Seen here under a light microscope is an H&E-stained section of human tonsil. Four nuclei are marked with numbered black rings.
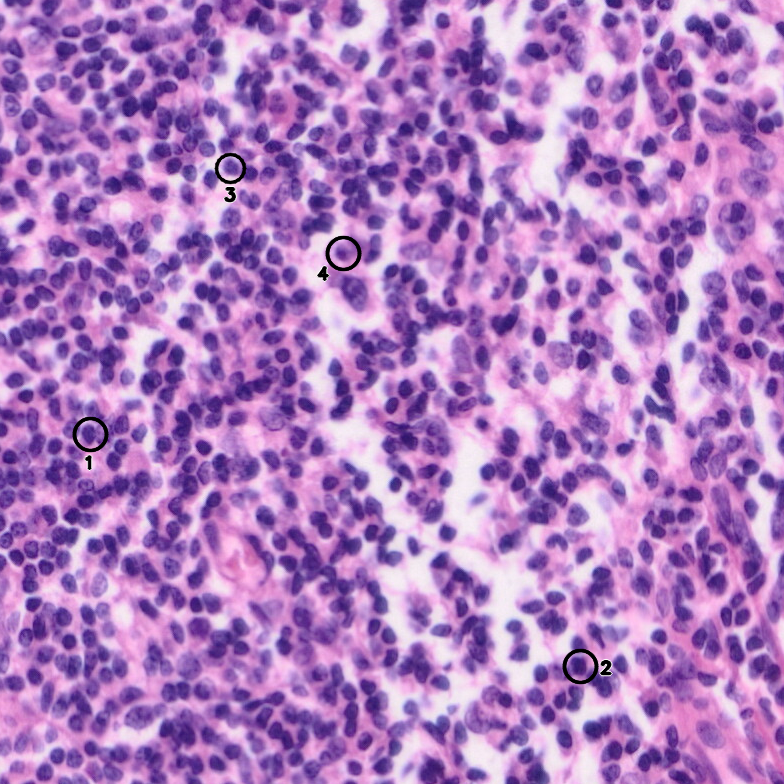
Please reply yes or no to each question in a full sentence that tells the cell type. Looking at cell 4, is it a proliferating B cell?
Yes, of the numbered cells, number 4 is a proliferating B cell.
